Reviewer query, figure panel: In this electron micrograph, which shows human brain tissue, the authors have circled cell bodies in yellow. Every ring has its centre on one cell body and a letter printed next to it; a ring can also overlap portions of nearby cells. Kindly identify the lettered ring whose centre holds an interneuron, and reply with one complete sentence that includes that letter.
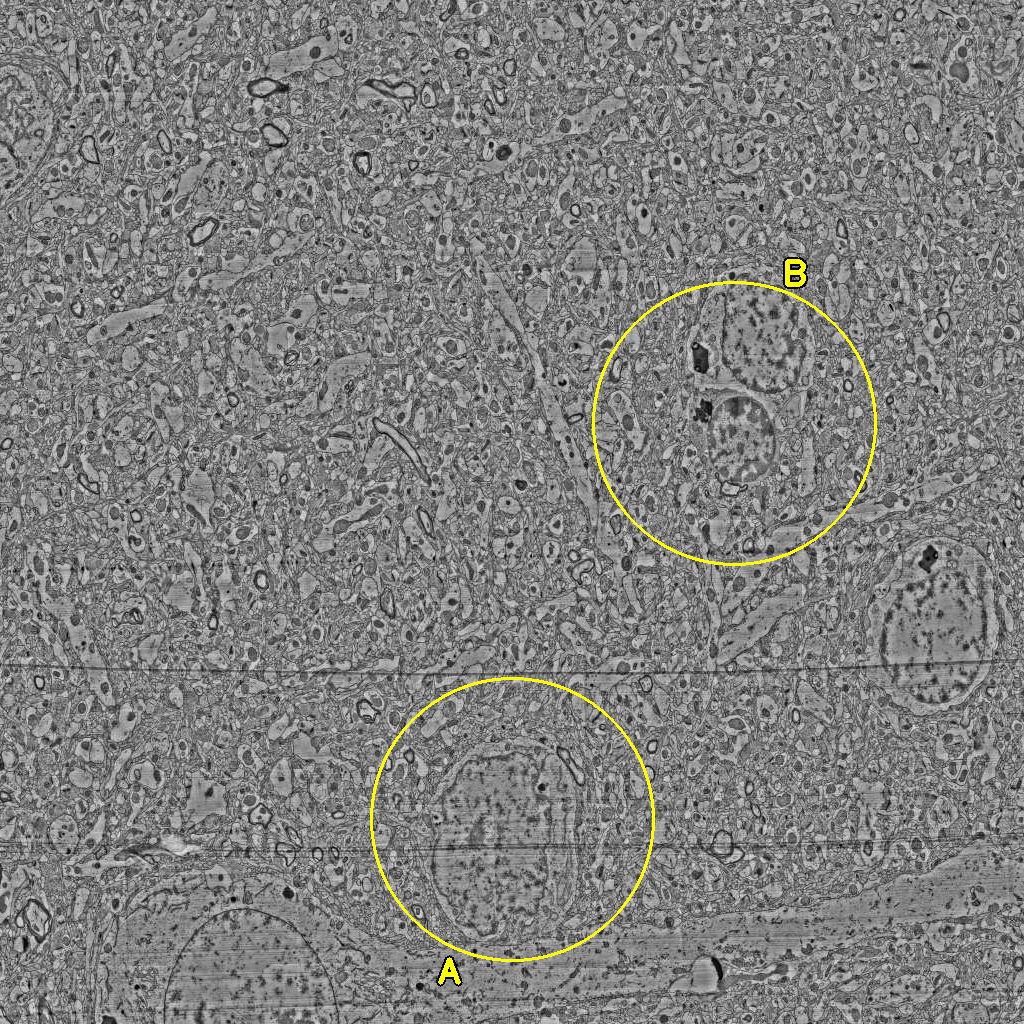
In this figure panel, the ring labelled A has the cell asked for at its centre.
